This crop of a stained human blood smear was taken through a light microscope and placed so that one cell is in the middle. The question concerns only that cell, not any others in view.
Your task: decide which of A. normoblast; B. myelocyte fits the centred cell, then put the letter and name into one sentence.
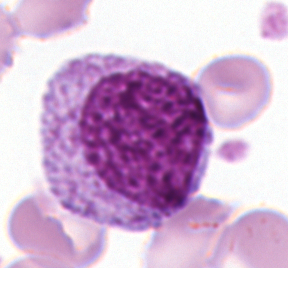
Option B holds up: the cell in the middle is a myelocyte.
